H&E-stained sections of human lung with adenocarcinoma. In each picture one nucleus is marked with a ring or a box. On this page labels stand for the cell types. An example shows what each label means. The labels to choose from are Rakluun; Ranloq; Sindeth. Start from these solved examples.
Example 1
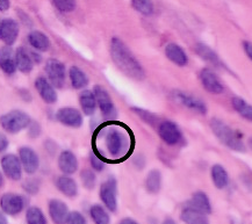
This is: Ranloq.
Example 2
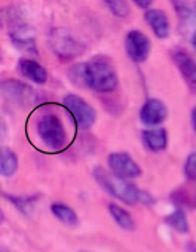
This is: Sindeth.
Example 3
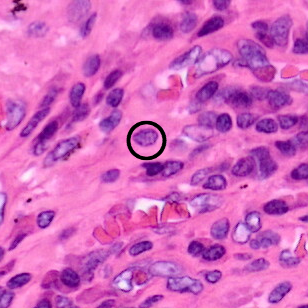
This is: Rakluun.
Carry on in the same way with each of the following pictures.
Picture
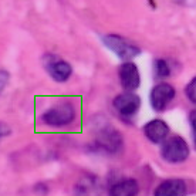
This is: Sindeth.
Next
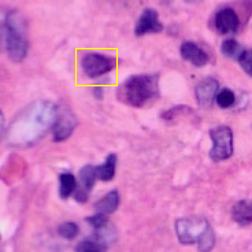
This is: Sindeth.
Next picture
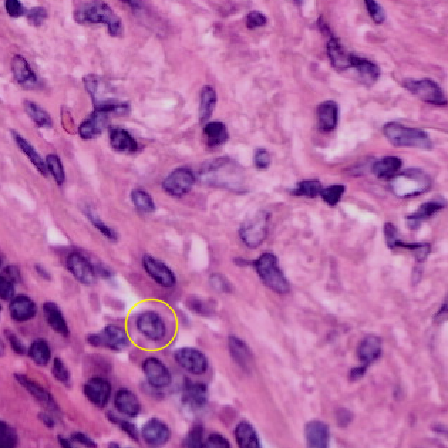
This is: Sindeth.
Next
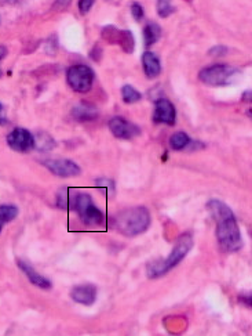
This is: Sindeth.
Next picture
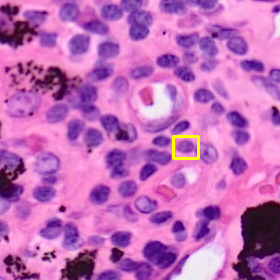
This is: Ranloq.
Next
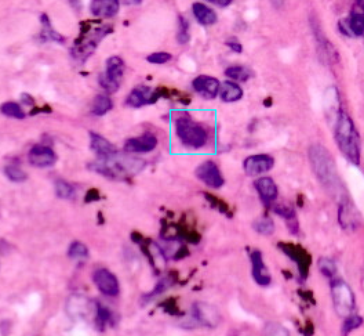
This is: Sindeth.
